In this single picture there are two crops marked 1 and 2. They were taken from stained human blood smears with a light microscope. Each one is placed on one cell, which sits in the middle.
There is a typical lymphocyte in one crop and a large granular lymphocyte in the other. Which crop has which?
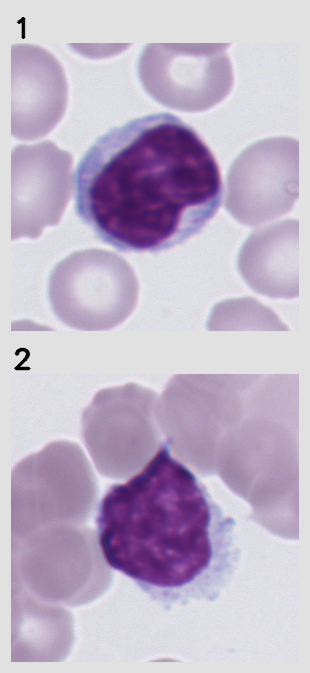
1: typical lymphocyte
2: large granular lymphocyte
